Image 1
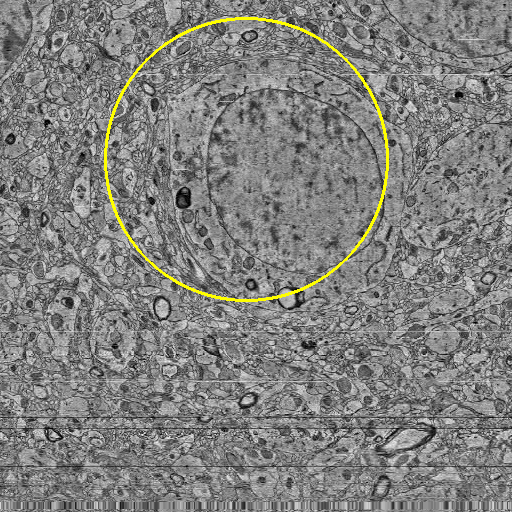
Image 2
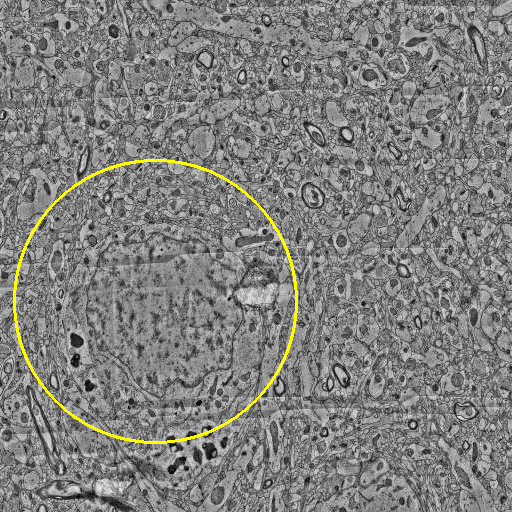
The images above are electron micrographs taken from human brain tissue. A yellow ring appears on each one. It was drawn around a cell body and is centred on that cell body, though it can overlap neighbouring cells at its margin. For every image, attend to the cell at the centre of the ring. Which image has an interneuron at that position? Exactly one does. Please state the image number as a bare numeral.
2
